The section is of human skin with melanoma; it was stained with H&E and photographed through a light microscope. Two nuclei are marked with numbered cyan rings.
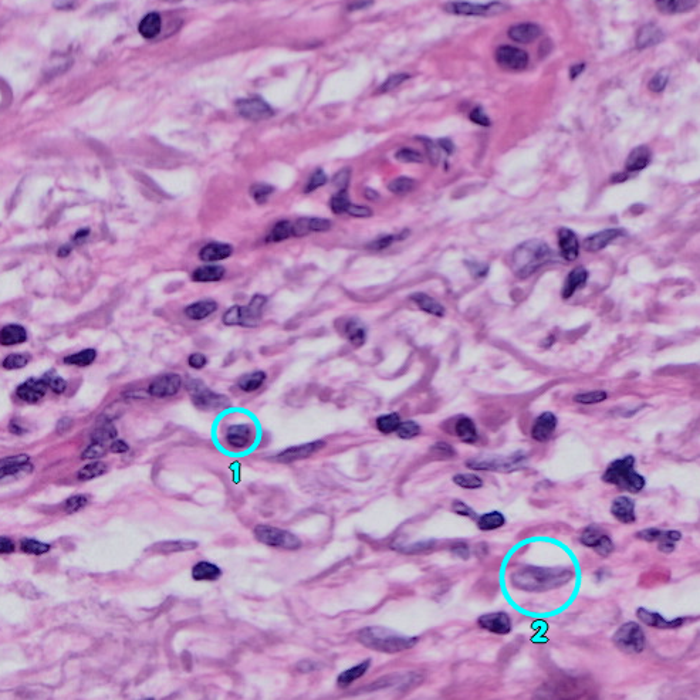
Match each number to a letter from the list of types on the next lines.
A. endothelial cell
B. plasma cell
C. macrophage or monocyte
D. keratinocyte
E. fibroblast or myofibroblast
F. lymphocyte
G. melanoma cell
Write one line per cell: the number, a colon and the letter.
1: B
2: E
